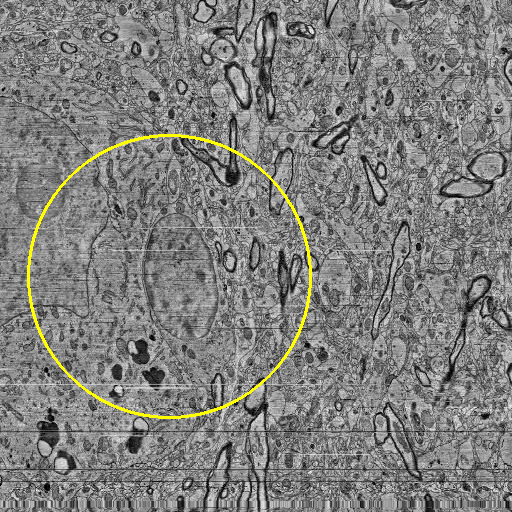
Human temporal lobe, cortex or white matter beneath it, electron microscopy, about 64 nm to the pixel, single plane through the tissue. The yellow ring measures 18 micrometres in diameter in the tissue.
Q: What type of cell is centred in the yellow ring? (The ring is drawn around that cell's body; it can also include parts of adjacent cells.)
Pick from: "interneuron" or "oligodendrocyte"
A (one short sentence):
The yellow ring is centred on an oligodendrocyte.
